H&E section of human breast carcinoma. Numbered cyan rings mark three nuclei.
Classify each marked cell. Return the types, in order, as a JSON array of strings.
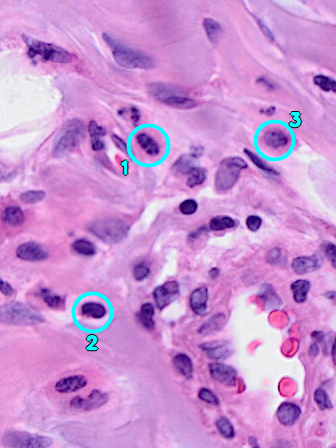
["mast cell", "lymphocyte", "mast cell"]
